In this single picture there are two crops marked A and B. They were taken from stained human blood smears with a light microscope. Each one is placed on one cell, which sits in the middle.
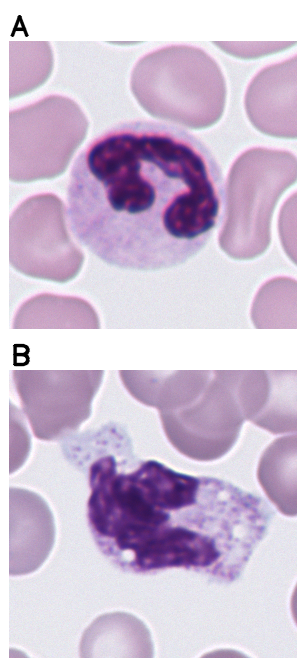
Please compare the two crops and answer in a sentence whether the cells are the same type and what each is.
Yes, both crops are centred on segmented neutrophils.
